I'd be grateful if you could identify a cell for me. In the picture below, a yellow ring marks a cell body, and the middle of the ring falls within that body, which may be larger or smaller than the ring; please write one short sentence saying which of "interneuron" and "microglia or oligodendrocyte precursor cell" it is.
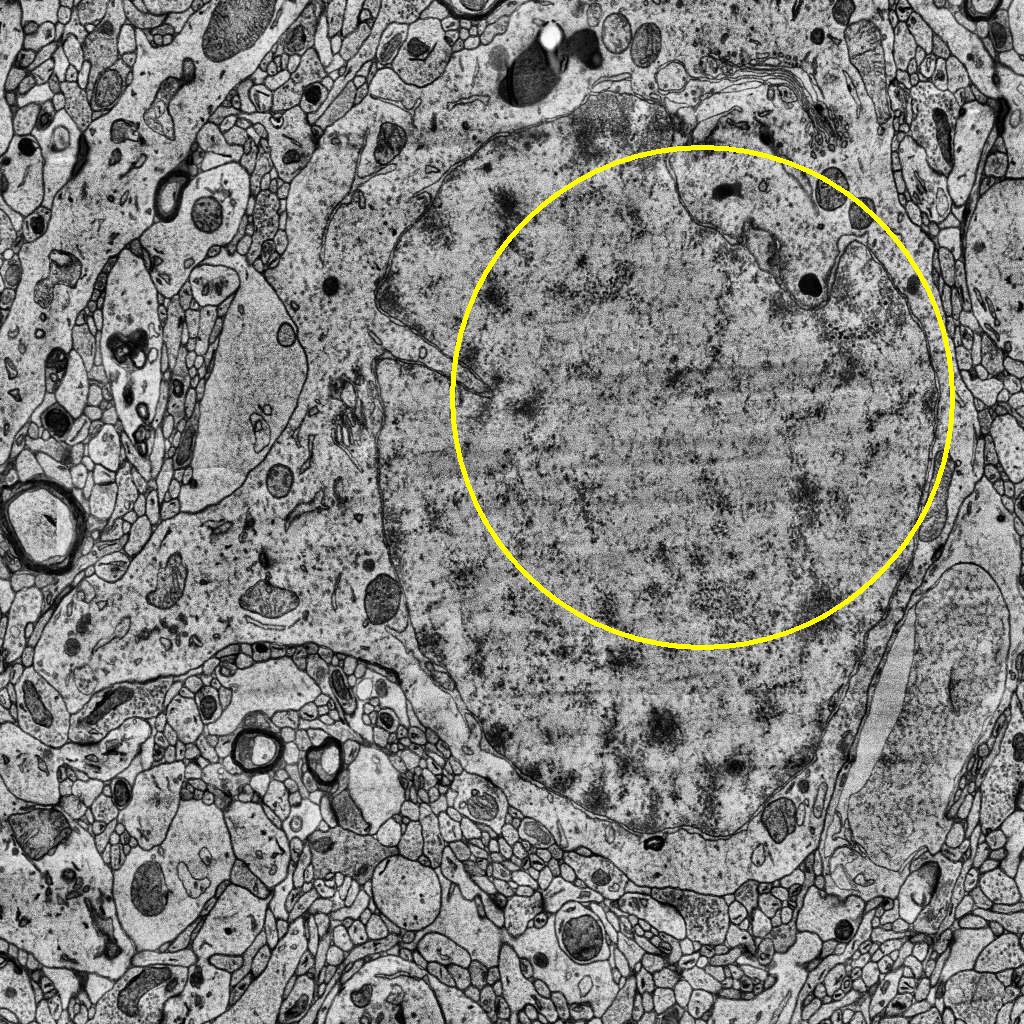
The cell under the ring's centre is an interneuron.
